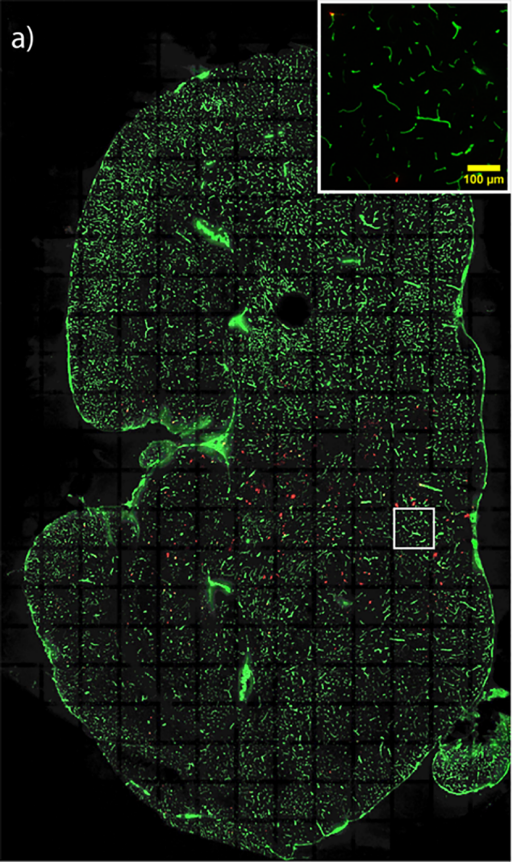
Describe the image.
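This is a whole section of brain assembled from many square tiles, with its blood vessels lit up in green against the dark parenchyma. The vessels form a dense, fairly even meshwork of short, thin segments that fills the whole section, cut at many angles so they appear as dots, dashes and branching streaks. Small red dots are scattered through part of the tissue, mostly in the lower middle region, lying between and beside the green vessels. The higher-magnification inset from one tile shows the capillaries as thin, curved green tubes with a few red dots nearby.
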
